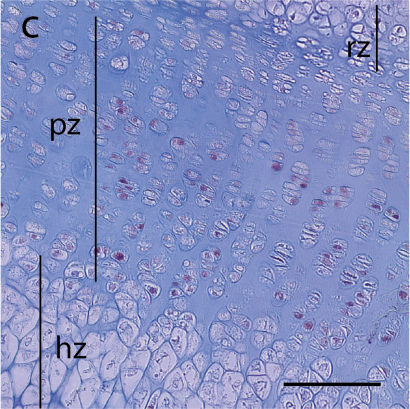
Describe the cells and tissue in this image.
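This is growth plate cartilage showing chondrocytes in lacunae embedded in a blue-violet matrix. At the lower left the cells become large and swollen with pale cytoplasm, as hypertrophic chondrocytes. Red-purple stained nuclei are scattered among the column cells.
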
